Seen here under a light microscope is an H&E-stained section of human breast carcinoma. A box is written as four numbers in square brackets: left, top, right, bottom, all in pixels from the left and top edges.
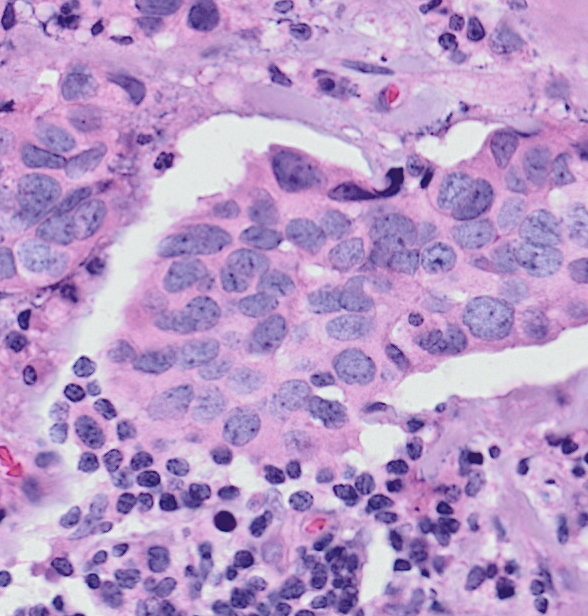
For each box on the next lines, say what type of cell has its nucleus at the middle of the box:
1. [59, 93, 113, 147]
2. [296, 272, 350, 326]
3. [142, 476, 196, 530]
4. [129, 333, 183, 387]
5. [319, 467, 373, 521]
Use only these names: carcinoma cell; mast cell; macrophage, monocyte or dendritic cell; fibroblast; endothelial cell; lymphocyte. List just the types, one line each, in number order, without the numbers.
carcinoma cell
carcinoma cell
lymphocyte
carcinoma cell
lymphocyte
